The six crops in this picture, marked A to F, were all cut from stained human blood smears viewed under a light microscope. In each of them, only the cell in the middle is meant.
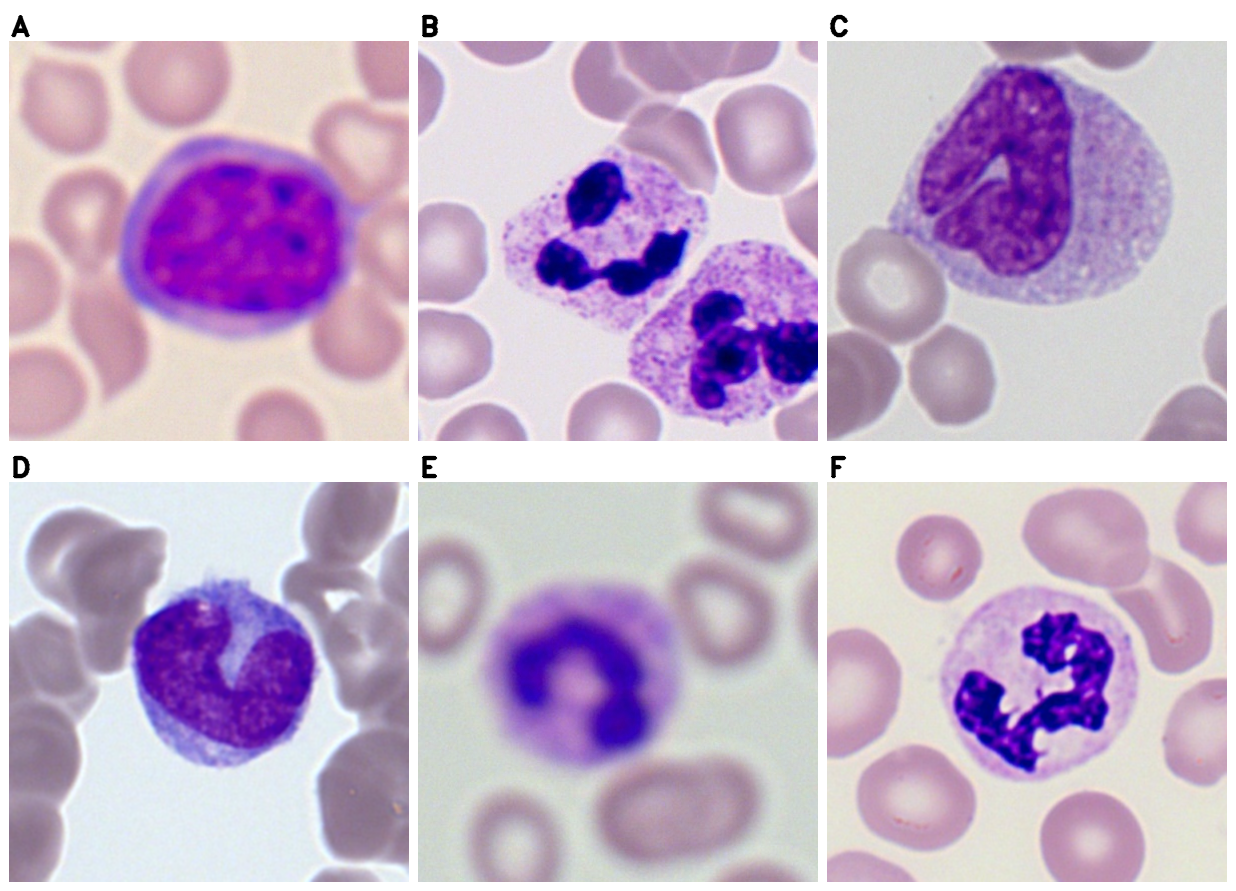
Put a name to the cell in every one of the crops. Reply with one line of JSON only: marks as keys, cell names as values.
{"A": "monocyte", "B": "segmented neutrophil", "C": "monocyte", "D": "monocyte", "E": "segmented neutrophil", "F": "segmented neutrophil"}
